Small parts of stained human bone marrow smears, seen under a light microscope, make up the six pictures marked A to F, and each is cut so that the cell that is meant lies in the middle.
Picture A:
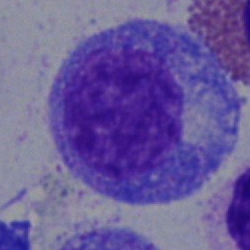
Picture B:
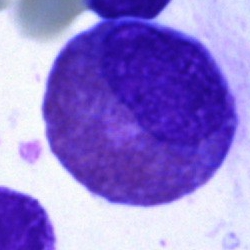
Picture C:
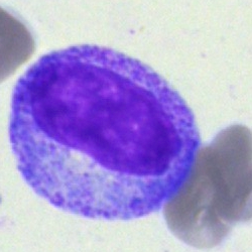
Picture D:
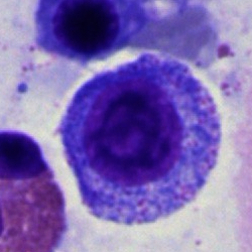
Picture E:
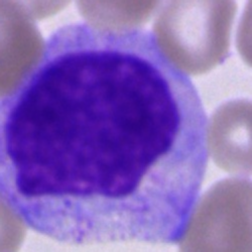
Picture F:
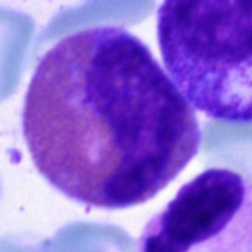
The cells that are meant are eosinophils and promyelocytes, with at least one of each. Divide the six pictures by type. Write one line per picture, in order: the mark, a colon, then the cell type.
A: promyelocyte
B: eosinophil
C: promyelocyte
D: promyelocyte
E: promyelocyte
F: eosinophil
